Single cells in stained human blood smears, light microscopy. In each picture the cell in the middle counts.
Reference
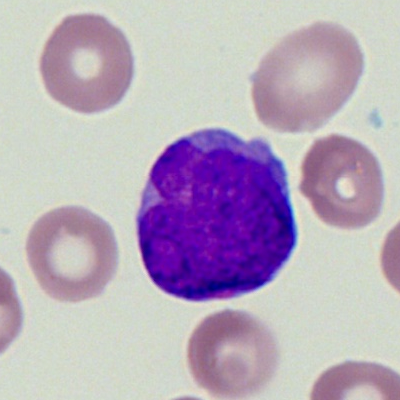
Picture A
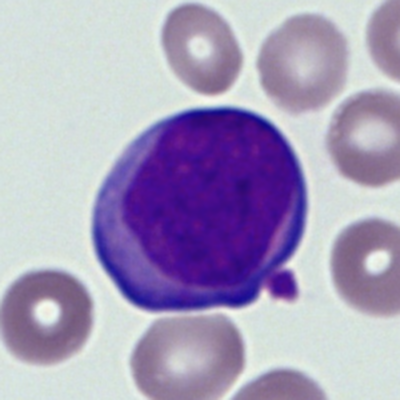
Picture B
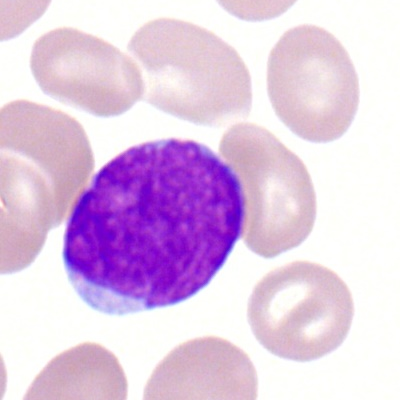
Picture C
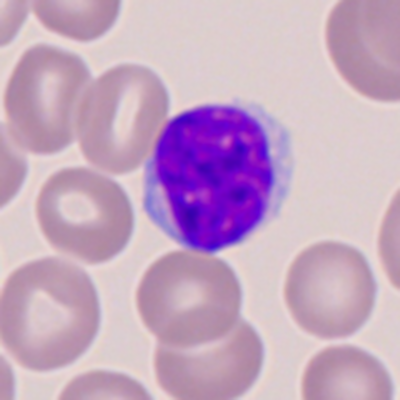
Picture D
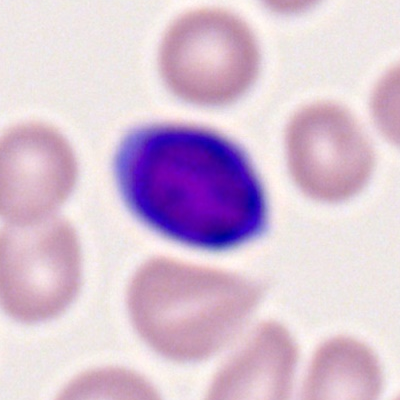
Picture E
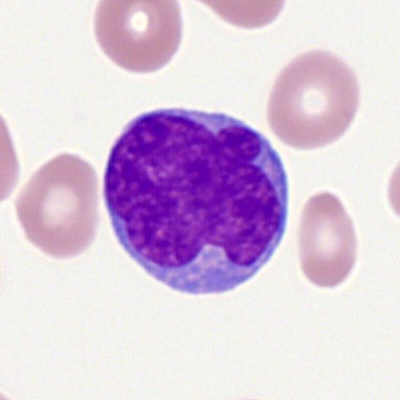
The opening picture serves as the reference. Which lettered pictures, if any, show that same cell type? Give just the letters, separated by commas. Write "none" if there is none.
A, B, E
